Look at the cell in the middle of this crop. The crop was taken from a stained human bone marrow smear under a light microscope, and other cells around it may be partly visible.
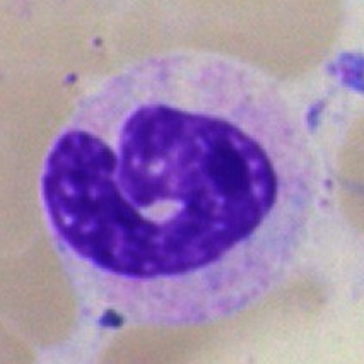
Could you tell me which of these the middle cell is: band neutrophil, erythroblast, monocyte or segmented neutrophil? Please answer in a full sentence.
The cell of interest, located centrally, is a segmented neutrophil.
